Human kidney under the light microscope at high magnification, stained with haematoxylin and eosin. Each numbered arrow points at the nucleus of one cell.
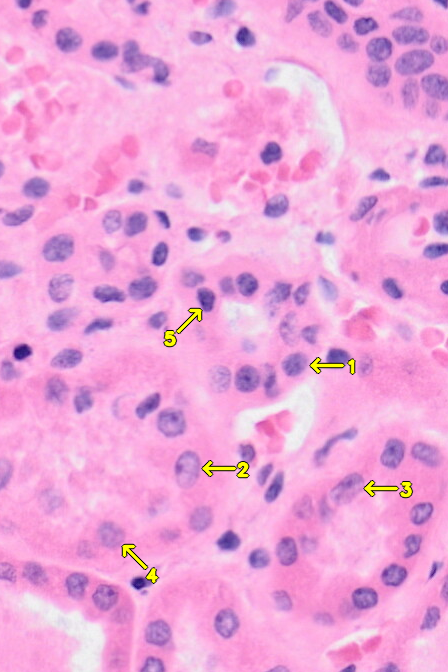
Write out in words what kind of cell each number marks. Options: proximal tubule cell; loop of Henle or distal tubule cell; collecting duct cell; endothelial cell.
Cell 1 is a collecting duct cell, cell 2 is a proximal tubule cell, cell 3 is a proximal tubule cell, cell 4 is a proximal tubule cell and cell 5 is a collecting duct cell.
